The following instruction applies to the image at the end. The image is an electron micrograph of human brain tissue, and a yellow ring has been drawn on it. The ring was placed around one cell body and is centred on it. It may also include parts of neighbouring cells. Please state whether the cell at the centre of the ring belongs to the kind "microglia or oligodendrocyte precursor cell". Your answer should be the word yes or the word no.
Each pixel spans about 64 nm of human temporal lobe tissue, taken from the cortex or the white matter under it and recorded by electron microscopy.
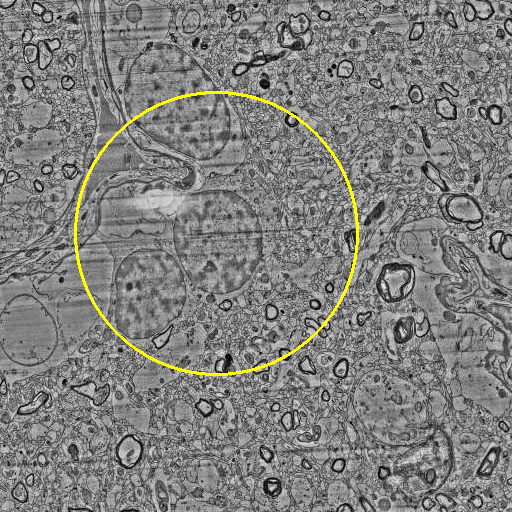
no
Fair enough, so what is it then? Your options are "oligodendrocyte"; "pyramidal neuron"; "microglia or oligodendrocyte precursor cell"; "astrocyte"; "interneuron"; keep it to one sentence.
As it turns out, the cell at the ring centre is an oligodendrocyte.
